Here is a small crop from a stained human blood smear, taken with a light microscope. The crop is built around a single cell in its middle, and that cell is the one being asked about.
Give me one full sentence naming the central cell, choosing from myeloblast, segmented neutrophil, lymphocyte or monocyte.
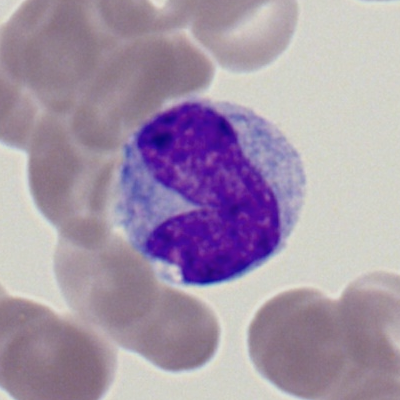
In short, the cell at the center is a monocyte.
